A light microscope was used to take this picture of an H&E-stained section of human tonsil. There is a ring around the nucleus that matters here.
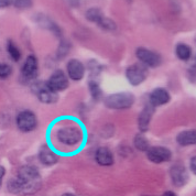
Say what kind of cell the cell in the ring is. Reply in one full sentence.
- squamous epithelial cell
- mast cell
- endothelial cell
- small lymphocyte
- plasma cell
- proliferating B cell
Recorded by type, the cell in the ring is a plasma cell.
